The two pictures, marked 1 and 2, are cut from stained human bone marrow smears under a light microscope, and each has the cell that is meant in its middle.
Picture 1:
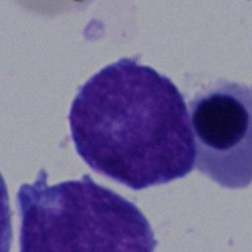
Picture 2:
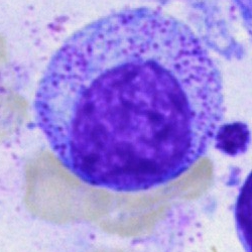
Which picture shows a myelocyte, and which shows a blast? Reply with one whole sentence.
In picture 1 the cell is a blast; in picture 2, a myelocyte.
